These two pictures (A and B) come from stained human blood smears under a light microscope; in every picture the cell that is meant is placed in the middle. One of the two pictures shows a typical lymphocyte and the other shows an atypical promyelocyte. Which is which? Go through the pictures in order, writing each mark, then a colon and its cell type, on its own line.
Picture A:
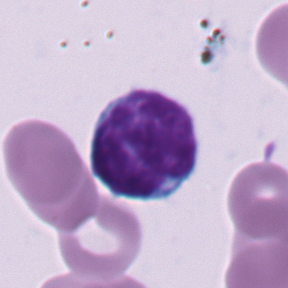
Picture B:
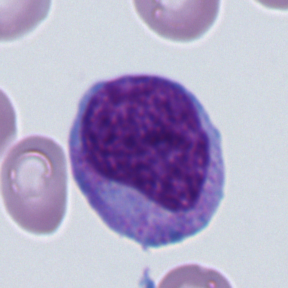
A: typical lymphocyte
B: atypical promyelocyte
